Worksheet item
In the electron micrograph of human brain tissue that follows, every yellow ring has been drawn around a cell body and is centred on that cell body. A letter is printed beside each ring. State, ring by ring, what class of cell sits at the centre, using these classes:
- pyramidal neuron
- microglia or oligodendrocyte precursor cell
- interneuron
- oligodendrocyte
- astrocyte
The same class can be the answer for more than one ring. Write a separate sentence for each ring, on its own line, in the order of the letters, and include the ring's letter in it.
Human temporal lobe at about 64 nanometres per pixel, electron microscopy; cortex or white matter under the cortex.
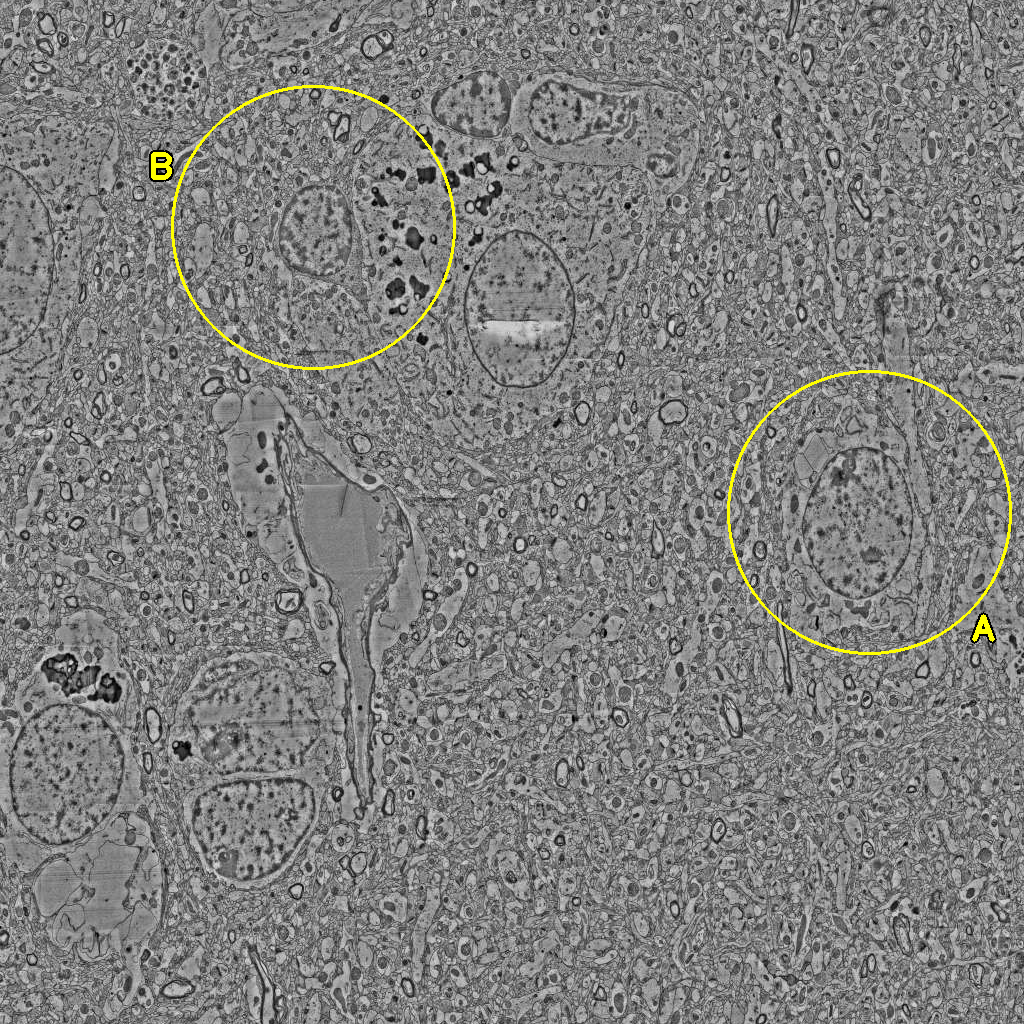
At the centre of ring A sits an astrocyte.
At the centre of ring B sits an oligodendrocyte.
